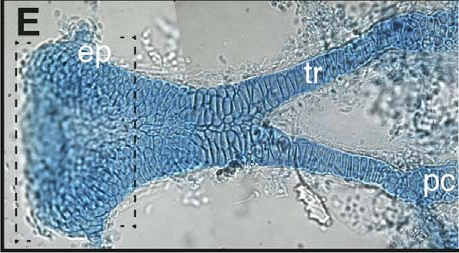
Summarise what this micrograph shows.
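Head cartilage with blue-stained chondrocytes forming a broad anterior ethmoid plate that continues into two paired rod-like trabeculae. The plate is made of many densely packed, rounded to polygonal cells. In the trabeculae the chondrocytes are flattened and stacked in orderly single or double rows across the width of the rod. The trabeculae diverge posteriorly, leaving a clear space between them.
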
